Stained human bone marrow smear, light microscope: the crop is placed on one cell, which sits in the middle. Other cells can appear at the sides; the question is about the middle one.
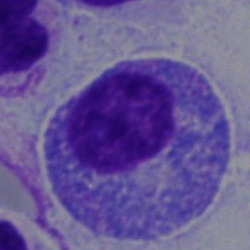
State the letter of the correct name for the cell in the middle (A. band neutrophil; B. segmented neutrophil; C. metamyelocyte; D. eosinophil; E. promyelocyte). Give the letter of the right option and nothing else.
E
